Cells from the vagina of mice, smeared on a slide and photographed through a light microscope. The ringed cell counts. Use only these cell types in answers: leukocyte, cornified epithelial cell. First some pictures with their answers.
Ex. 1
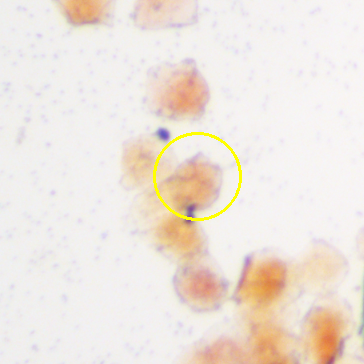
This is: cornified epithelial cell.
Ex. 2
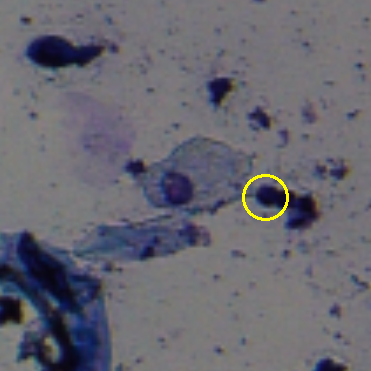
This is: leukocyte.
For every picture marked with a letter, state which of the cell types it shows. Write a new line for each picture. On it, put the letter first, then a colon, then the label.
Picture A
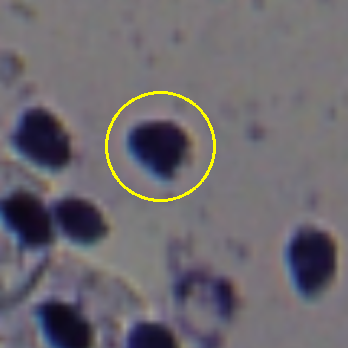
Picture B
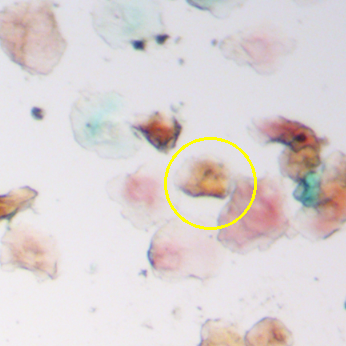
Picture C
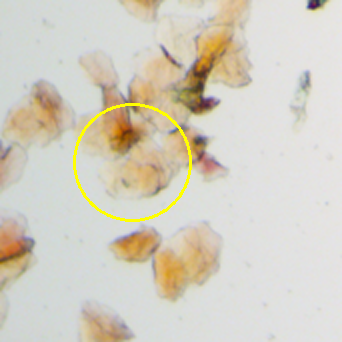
A: leukocyte.
B: cornified epithelial cell.
C: cornified epithelial cell.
